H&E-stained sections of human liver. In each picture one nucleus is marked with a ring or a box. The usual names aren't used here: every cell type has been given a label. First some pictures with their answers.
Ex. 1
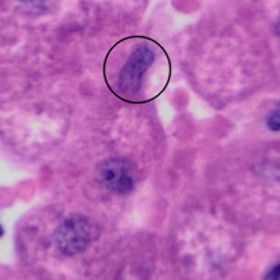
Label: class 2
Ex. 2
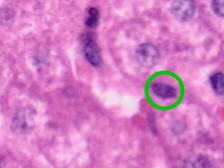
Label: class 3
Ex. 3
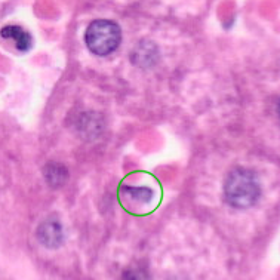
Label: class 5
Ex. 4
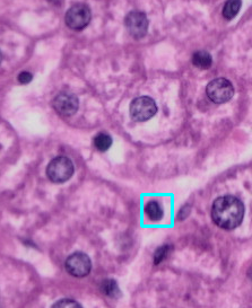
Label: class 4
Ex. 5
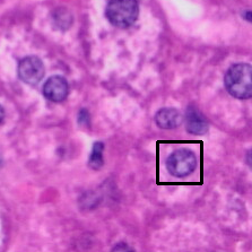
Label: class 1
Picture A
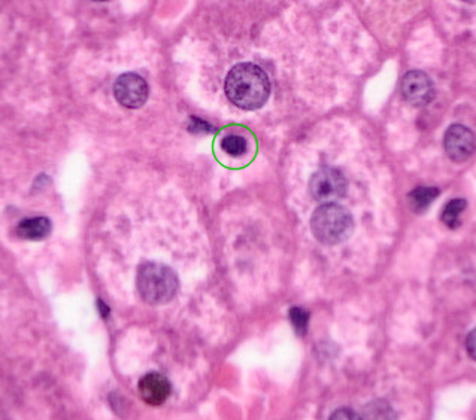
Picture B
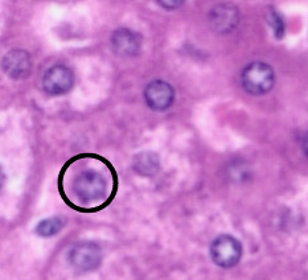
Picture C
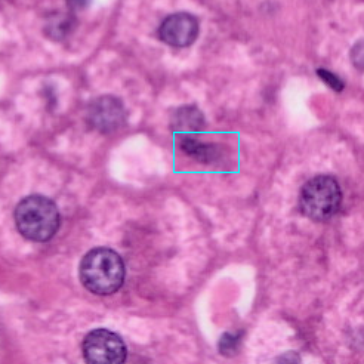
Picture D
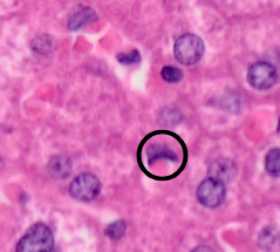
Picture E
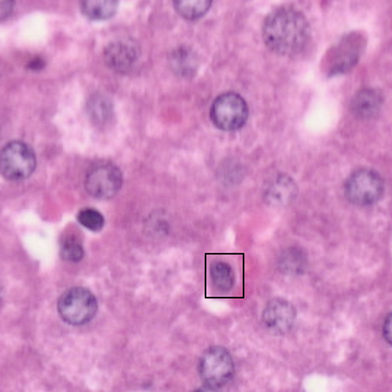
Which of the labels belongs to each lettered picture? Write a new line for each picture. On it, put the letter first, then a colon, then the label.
A: class 4
B: class 1
C: class 3
D: class 5
E: class 2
